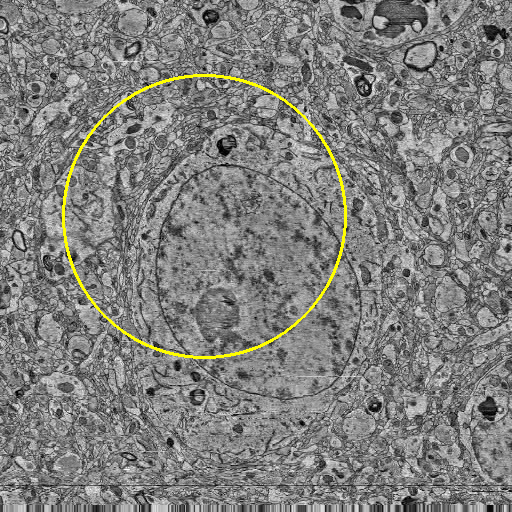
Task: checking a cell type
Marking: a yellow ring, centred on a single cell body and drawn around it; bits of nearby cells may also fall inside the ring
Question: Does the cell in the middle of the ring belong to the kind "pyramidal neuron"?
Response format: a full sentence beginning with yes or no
Yes, the cell marked at the ring's centre in the picture is of that kind.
